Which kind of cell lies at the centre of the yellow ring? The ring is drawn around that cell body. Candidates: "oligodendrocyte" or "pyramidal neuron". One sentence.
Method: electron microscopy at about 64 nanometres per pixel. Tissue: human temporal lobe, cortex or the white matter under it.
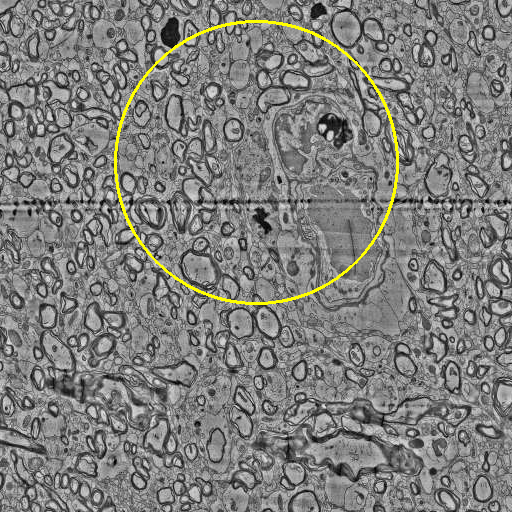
Lying at the centre of the ring is an oligodendrocyte.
